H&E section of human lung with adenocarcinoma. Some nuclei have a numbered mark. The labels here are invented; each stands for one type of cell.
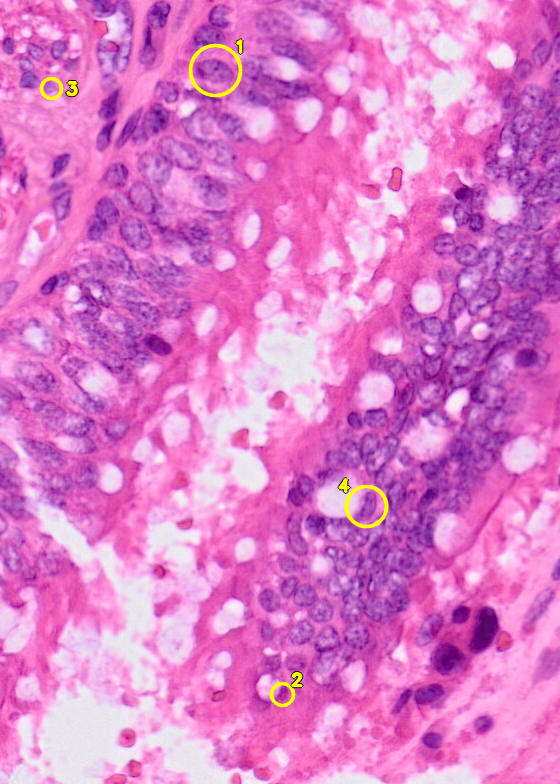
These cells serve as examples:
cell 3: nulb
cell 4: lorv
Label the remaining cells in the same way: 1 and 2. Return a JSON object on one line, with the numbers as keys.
{"1": "lorv", "2": "lorv"}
